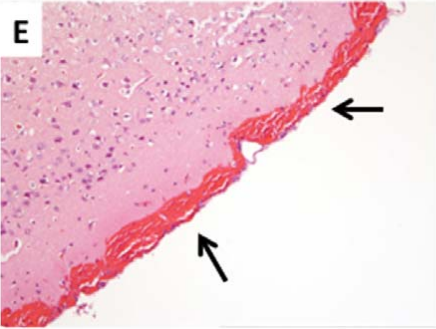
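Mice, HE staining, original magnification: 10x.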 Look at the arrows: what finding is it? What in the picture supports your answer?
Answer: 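A band of bright red erythrocytes covers the brain surface. The blood lies outside the pink parenchyma, along its outer edge.
Subarachnoidal hemorrhages.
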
